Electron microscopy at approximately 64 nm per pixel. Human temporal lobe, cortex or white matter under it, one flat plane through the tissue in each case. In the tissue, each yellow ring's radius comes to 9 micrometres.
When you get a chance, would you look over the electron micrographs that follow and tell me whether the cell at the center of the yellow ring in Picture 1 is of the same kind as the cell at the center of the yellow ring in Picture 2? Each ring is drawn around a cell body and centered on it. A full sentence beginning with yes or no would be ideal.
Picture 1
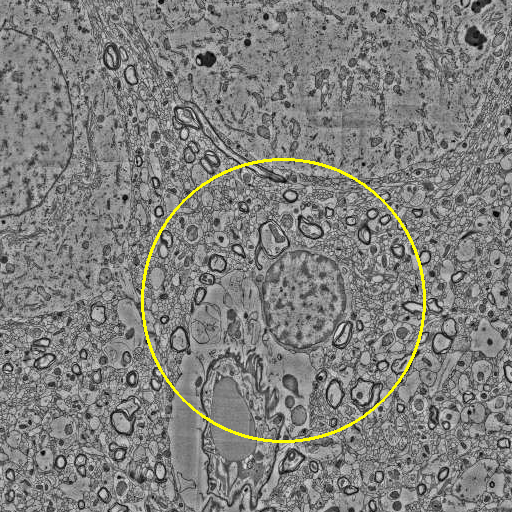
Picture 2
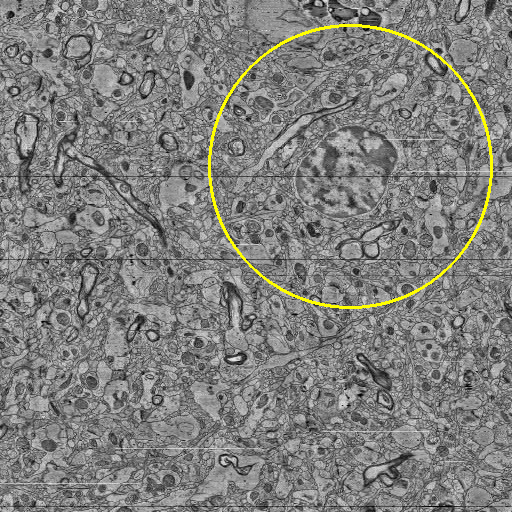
No, they are two kinds of cell.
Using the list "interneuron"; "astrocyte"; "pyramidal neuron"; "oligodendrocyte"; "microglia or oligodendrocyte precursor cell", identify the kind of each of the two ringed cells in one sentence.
The first is an oligodendrocyte and the second is a microglial cell or oligodendrocyte precursor cell.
